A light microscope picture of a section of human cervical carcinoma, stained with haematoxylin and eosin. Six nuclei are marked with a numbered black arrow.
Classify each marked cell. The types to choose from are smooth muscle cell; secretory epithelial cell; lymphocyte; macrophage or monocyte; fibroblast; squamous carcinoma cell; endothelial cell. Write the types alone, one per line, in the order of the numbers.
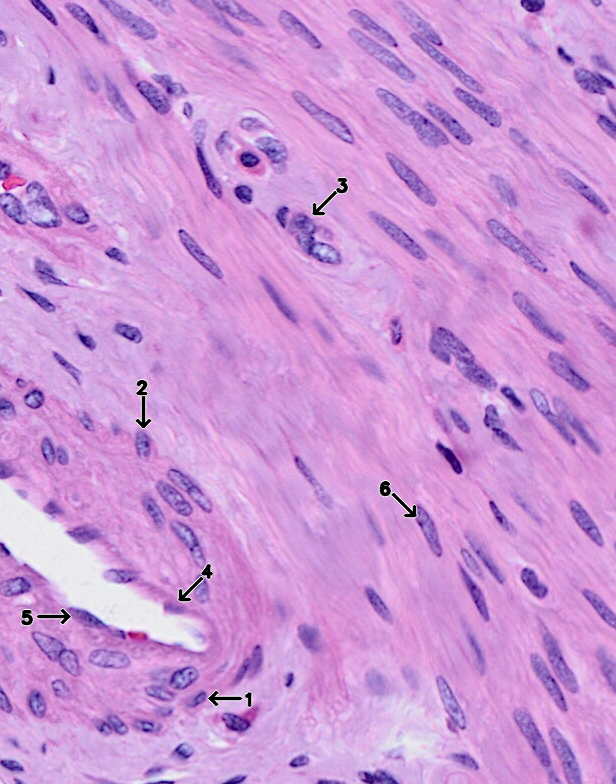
smooth muscle cell
smooth muscle cell
endothelial cell
endothelial cell
endothelial cell
fibroblast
